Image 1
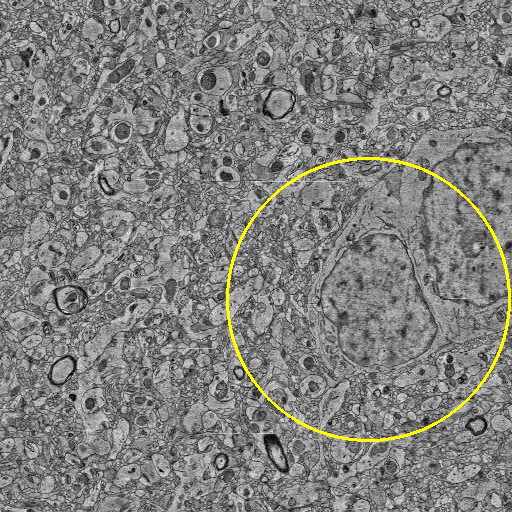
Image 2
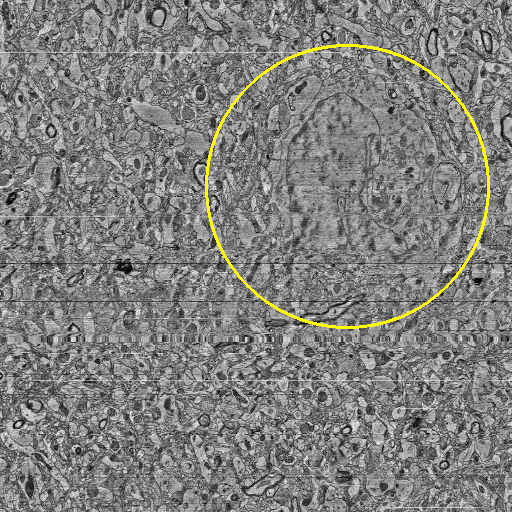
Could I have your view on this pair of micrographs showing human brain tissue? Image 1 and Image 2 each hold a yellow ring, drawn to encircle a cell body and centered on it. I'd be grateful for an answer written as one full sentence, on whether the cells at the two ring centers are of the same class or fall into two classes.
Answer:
The cells at the centers of the two rings fall into two classes.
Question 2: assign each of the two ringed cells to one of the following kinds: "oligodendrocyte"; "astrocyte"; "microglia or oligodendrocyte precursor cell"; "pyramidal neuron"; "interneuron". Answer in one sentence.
The two cells are a microglial cell or oligodendrocyte precursor cell in the first picture and an interneuron in the second.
